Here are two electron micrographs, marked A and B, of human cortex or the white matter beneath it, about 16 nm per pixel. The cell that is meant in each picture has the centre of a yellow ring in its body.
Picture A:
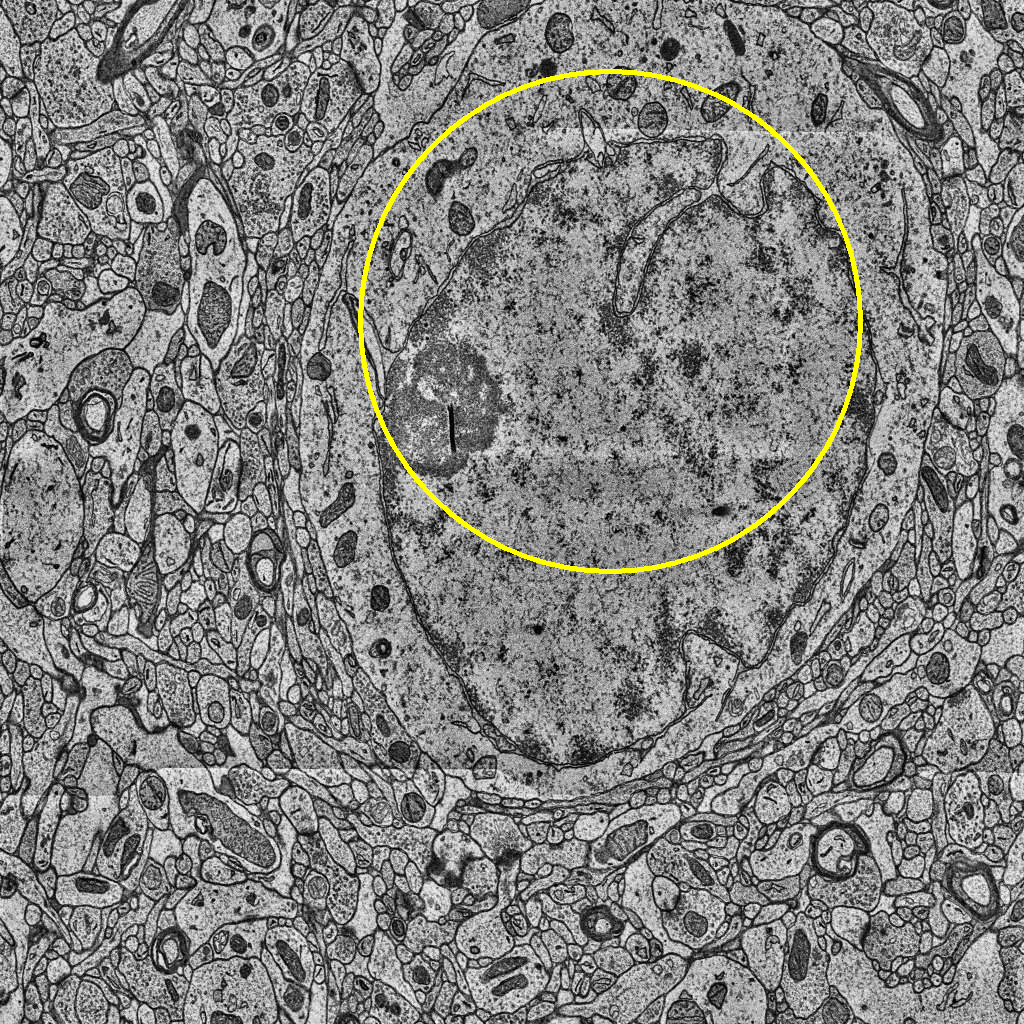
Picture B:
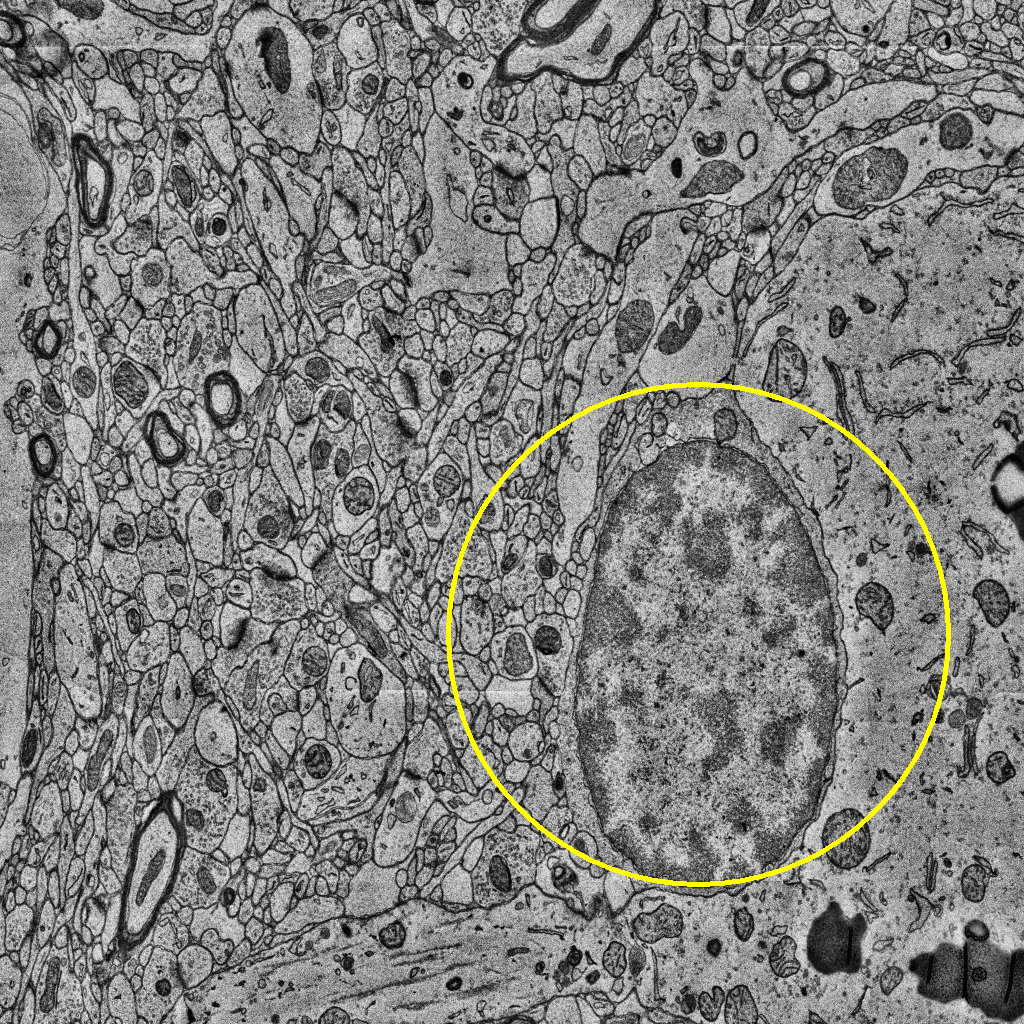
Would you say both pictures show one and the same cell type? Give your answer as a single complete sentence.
No, picture A shows an interneuron and picture B shows an oligodendrocyte.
